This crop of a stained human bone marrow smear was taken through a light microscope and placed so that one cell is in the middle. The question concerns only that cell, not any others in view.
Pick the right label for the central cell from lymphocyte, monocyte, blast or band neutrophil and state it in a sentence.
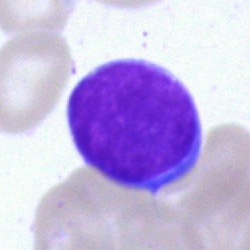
The crop shows a blast in its centre.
